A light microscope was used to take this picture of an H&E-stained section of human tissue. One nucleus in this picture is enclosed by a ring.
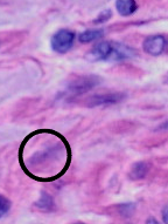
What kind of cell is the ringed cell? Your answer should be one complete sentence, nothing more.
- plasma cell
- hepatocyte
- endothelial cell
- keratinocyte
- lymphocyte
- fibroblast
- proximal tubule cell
Within this tissue, the ringed cell is a fibroblast.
